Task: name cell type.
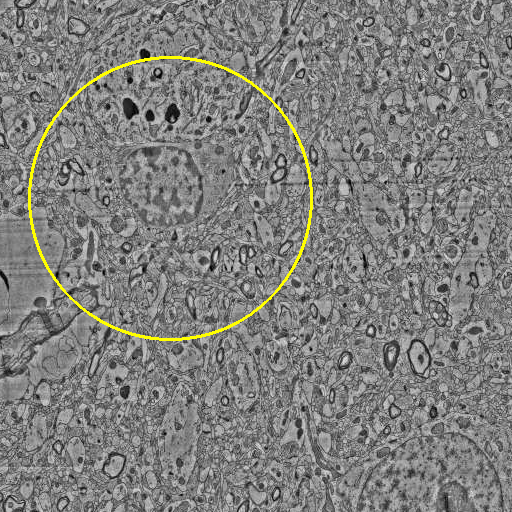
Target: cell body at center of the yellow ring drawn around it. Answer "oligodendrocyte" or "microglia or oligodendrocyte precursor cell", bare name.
oligodendrocyte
